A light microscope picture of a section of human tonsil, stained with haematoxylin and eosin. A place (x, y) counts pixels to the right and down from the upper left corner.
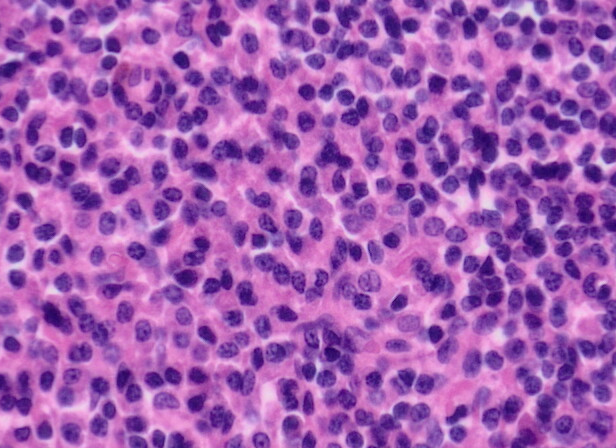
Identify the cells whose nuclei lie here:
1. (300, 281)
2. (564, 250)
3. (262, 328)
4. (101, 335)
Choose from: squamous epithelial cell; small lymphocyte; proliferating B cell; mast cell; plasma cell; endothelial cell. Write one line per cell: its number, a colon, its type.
1: plasma cell
2: small lymphocyte
3: plasma cell
4: plasma cell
